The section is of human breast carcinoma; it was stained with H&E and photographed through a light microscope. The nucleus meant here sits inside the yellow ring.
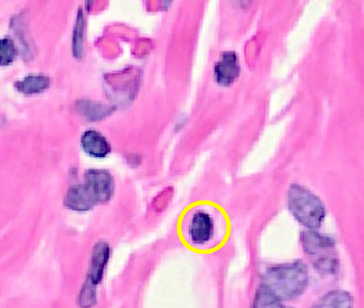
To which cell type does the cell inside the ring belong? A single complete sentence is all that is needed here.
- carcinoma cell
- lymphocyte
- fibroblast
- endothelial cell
Among the cells in this section, the cell inside the ring is a lymphocyte.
